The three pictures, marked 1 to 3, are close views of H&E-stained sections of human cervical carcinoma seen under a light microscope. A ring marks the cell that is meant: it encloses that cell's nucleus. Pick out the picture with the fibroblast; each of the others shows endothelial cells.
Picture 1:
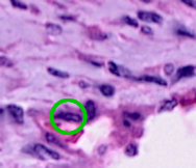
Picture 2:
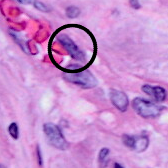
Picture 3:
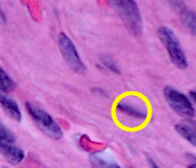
3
